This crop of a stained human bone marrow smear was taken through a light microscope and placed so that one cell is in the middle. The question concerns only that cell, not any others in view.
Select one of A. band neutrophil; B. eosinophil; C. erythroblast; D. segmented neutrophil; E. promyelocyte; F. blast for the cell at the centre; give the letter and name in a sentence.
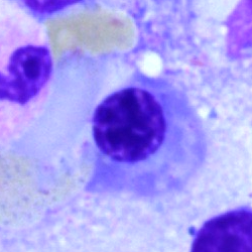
Option C is right, the centrally situated cell being an erythroblast.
